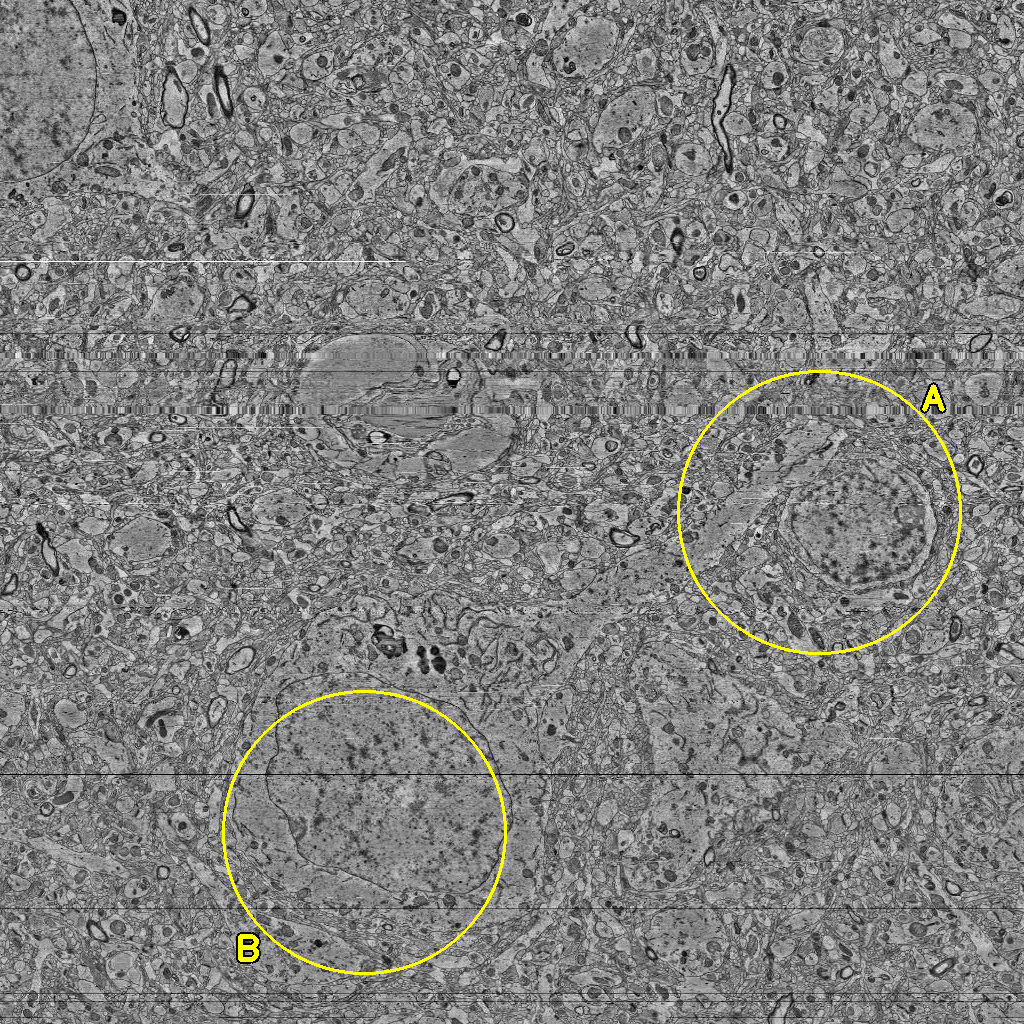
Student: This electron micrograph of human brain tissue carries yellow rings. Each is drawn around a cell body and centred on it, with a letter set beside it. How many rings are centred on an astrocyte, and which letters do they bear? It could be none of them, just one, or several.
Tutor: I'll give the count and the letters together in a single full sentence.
Looking across all the lettered rings, none is centred on an astrocyte, so the count is zero.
